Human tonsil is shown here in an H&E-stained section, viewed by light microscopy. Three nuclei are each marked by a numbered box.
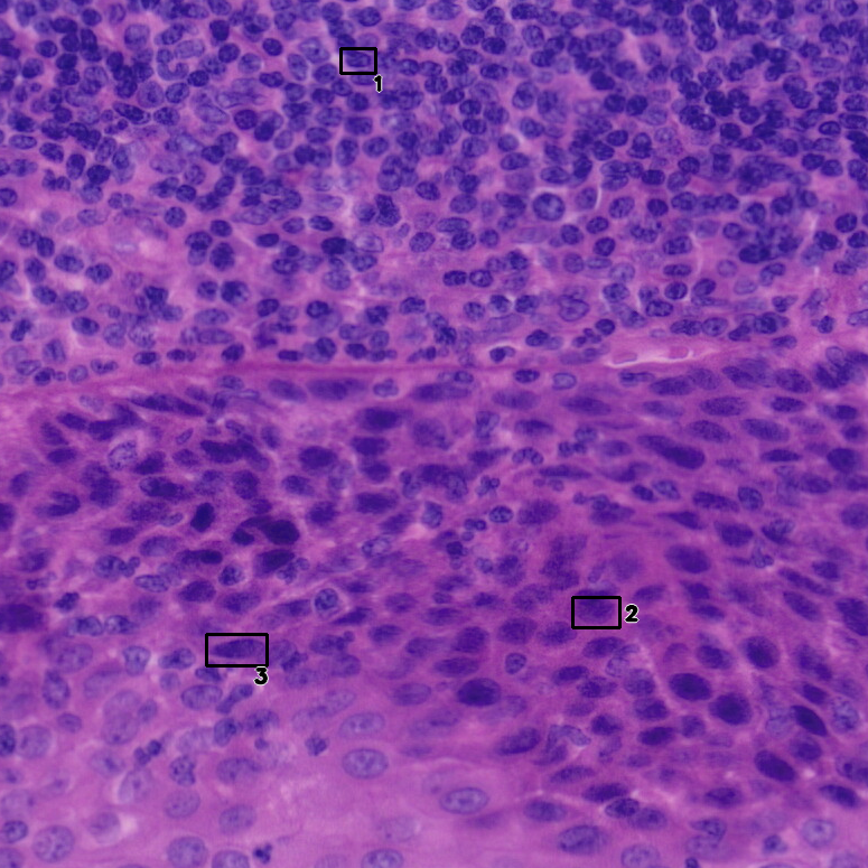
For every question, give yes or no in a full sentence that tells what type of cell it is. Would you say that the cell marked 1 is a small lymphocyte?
Yes, within this section, cell number 1 is a small lymphocyte.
